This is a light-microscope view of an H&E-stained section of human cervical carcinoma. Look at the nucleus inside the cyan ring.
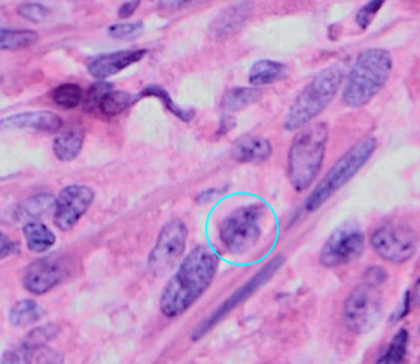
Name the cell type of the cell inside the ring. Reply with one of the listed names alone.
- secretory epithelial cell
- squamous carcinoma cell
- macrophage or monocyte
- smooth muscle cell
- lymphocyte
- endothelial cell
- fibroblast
macrophage or monocyte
